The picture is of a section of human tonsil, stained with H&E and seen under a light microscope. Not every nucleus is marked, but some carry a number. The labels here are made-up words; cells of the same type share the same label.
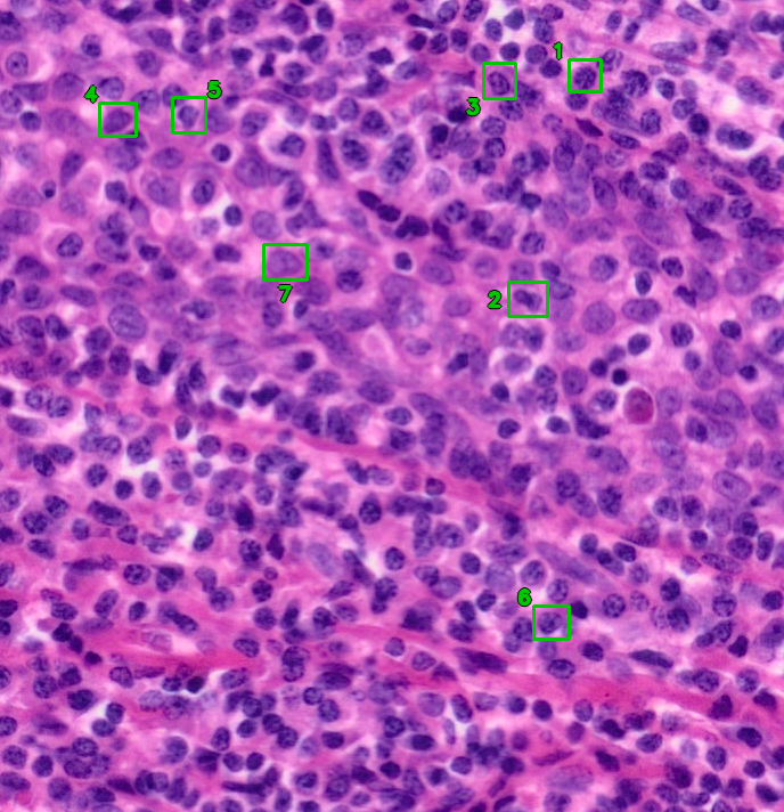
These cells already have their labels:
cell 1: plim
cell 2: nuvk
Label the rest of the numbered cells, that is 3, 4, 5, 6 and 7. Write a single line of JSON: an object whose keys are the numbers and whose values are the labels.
{"3": "plim", "4": "nuvk", "5": "nuvk", "6": "plim", "7": "nuvk"}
